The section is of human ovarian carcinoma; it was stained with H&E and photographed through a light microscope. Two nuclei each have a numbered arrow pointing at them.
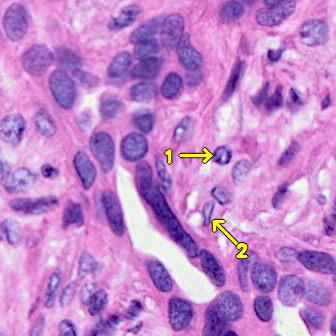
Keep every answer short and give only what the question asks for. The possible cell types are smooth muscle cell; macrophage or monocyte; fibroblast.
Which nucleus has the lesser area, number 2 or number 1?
2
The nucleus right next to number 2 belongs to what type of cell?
fibroblast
